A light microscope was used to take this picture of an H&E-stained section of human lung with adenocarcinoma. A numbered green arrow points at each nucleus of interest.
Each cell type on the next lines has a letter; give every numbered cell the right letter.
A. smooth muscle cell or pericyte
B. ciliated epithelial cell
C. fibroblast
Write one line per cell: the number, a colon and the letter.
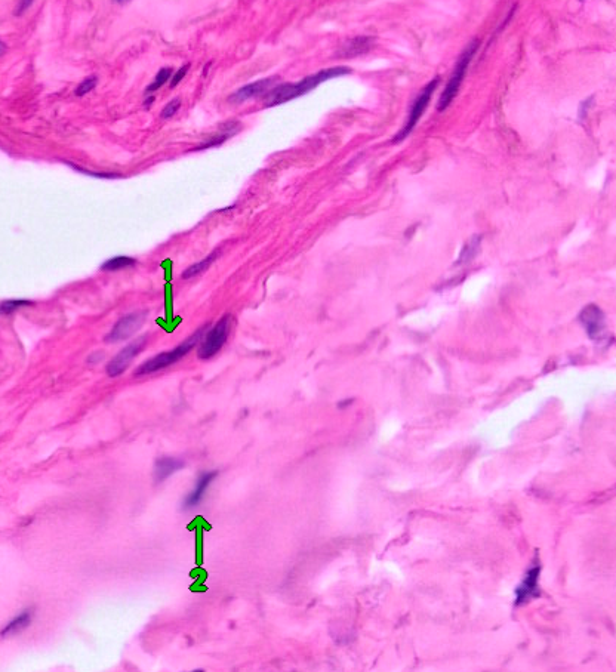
1: A
2: C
